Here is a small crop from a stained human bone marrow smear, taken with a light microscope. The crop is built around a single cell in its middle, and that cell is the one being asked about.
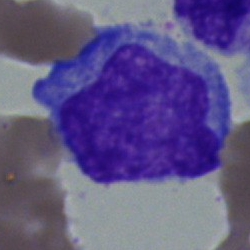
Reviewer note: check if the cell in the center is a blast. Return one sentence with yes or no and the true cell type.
Yes, the centered cell in this field is a blast.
